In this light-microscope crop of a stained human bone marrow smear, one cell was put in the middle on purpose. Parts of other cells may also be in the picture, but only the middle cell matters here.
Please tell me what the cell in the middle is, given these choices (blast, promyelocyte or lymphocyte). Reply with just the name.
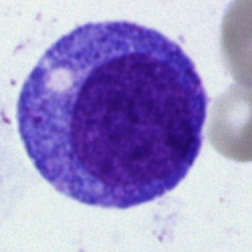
promyelocyte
